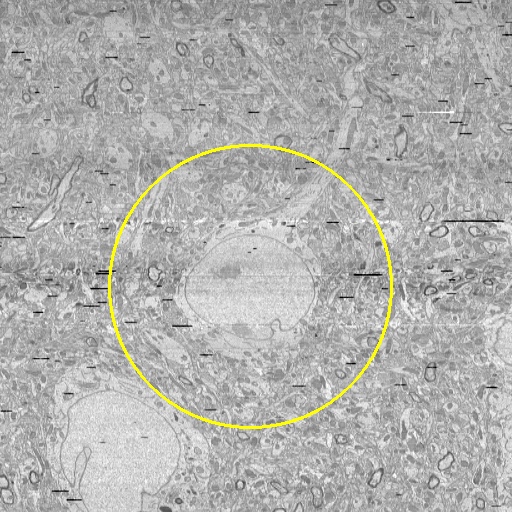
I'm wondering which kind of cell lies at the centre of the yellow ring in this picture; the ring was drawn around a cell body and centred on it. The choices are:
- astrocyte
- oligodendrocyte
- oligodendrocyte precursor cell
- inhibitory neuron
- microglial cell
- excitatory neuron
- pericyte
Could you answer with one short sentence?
At the centre of the ring lies an excitatory neuron.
